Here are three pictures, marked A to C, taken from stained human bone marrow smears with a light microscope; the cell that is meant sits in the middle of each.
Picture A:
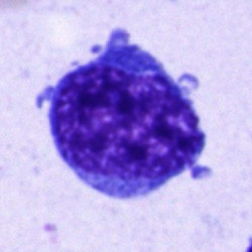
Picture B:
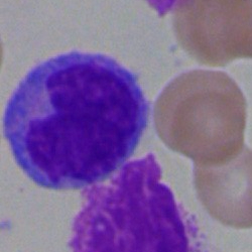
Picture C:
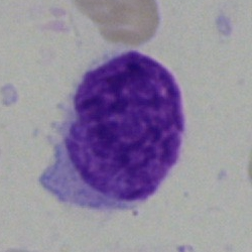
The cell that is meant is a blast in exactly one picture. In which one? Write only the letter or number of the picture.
A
